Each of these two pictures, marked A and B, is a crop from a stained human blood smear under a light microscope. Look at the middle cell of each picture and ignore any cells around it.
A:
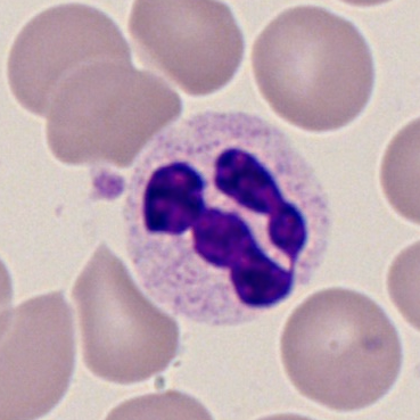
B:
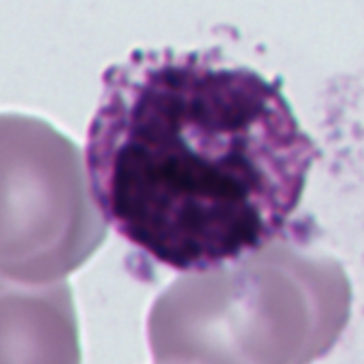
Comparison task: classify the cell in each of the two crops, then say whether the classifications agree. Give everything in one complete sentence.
No, crop A represents a segmented neutrophil, and crop B represents a basophil.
